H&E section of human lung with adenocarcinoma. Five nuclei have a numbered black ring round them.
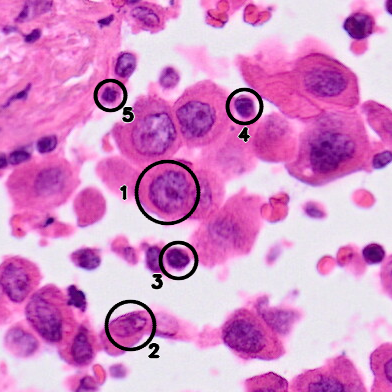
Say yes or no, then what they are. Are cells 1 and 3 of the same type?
No, cell 1 is a carcinoma cell and cell 3 is a lymphocyte.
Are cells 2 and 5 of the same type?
No, cell 2 is a macrophage or monocyte and cell 5 is a lymphocyte.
